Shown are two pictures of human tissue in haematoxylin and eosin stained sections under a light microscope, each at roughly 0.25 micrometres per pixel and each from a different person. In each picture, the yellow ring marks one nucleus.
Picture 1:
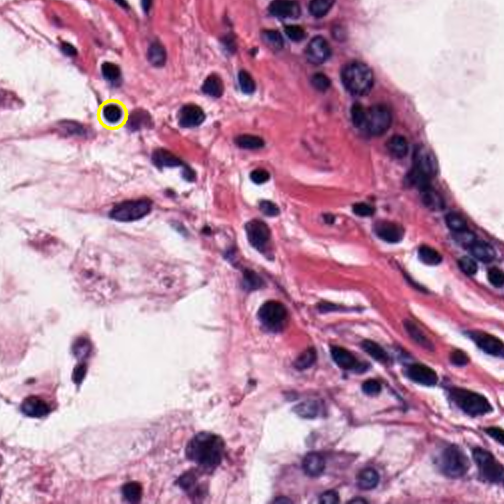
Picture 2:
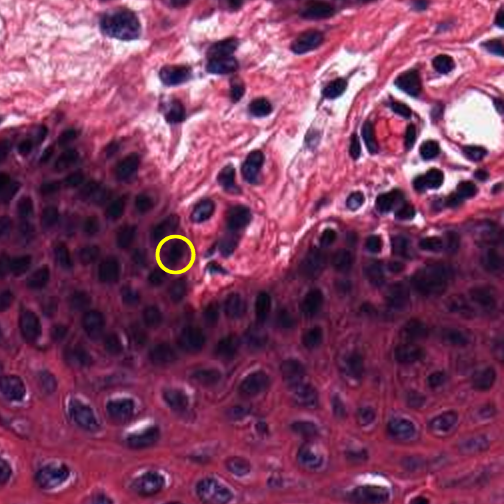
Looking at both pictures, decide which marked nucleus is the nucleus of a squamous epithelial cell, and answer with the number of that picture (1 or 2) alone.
2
